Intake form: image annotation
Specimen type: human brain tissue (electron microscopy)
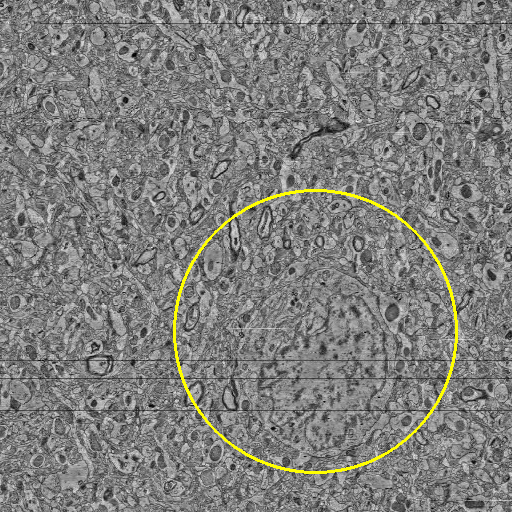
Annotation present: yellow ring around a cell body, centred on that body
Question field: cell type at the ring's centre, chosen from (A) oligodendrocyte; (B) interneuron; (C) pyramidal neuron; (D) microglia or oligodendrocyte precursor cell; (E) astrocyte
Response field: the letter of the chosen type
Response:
B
